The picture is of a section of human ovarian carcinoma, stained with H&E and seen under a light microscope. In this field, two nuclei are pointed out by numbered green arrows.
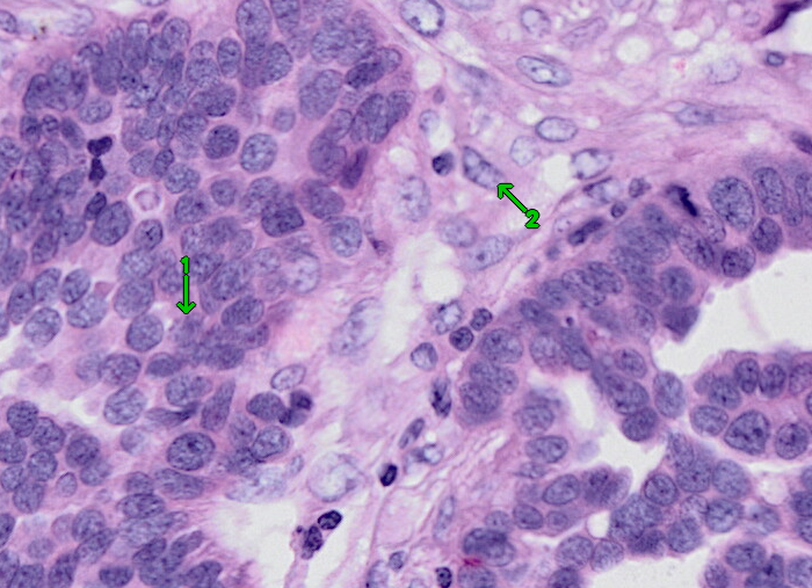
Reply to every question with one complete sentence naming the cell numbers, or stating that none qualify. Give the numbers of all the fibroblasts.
Only one choice fits: cell 2 is a fibroblast, and no other.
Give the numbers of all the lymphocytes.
In this section, none of the numbered cells are lymphocytes.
